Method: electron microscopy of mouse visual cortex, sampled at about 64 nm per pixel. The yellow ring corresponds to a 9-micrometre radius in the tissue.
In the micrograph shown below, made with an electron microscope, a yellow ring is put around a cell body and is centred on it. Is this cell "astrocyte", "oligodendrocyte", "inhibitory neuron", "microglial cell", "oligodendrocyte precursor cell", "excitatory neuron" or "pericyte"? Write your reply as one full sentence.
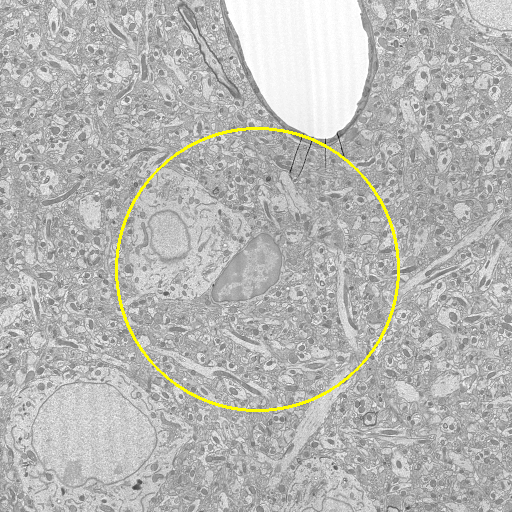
In the micrograph, a microglial cell is the cell at the centre of the yellow ring.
